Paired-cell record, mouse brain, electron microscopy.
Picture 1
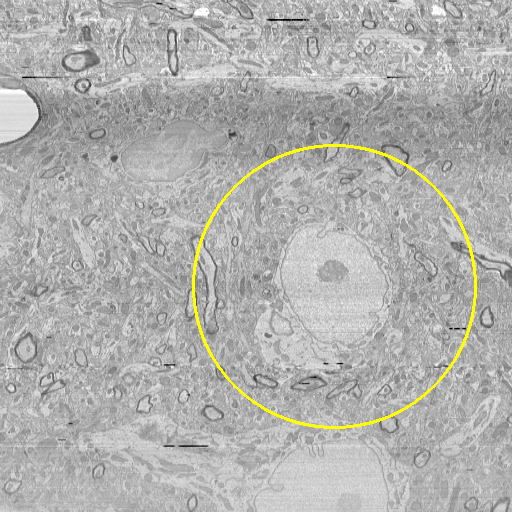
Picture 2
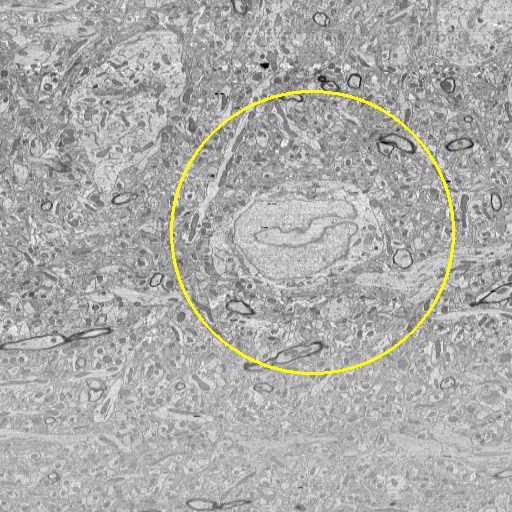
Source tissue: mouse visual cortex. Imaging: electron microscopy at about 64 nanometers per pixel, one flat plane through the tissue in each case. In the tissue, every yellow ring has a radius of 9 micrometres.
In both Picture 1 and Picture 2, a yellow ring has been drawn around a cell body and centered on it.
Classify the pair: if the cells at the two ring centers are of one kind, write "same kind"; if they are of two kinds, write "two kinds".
same kind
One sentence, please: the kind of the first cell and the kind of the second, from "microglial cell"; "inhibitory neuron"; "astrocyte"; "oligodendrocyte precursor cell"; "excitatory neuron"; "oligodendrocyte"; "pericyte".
Both pictures show an inhibitory neuron at the centre of the ring.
